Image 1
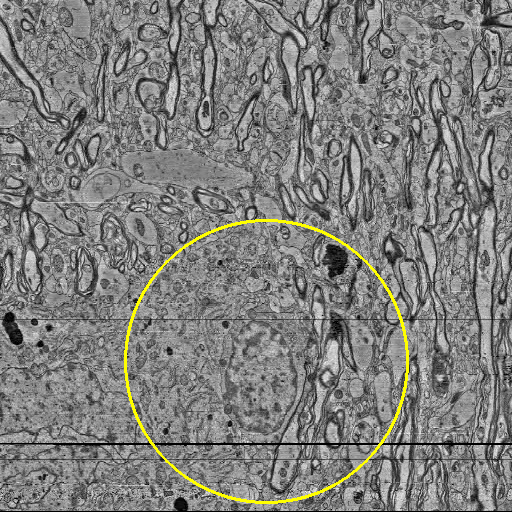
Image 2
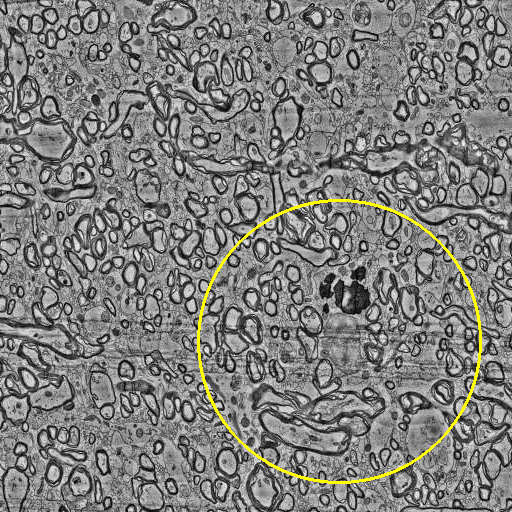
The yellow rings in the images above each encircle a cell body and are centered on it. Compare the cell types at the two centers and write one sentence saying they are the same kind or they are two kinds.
Taken together, the two cells at the ring centers are the same kind.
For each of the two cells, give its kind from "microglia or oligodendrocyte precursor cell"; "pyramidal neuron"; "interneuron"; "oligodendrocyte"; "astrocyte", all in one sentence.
Each of the two rings is centred on an oligodendrocyte.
